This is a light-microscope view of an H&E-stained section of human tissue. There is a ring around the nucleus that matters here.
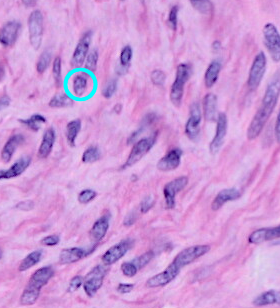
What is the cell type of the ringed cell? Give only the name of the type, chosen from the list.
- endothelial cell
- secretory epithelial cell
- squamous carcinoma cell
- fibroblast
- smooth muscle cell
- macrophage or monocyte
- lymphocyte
smooth muscle cell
